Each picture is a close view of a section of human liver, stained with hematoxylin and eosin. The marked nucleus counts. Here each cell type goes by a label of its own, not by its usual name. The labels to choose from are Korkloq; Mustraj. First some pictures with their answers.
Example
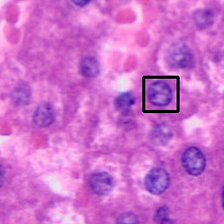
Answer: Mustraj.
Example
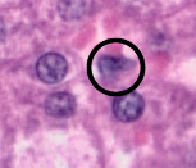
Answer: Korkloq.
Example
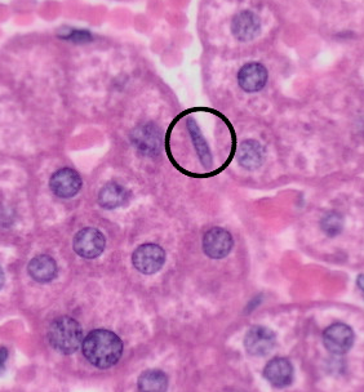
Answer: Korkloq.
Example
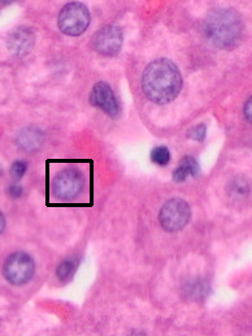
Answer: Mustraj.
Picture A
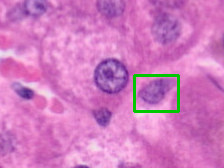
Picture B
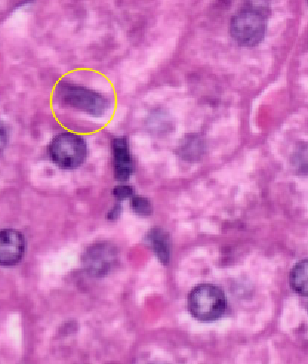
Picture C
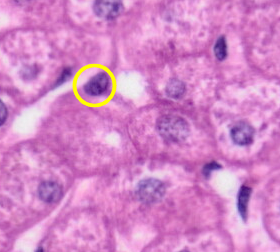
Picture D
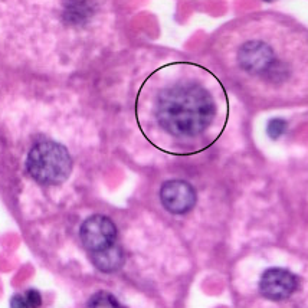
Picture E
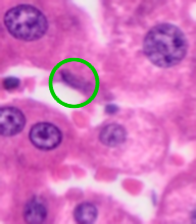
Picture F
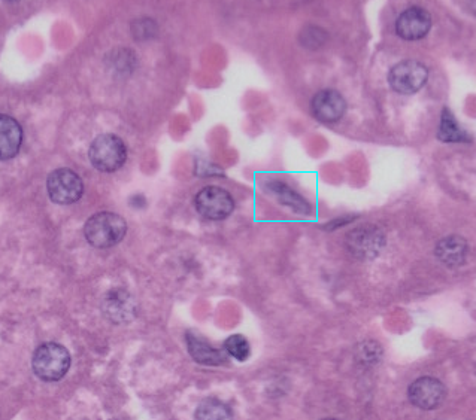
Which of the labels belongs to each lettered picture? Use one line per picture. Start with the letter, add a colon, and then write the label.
A: Korkloq.
B: Korkloq.
C: Korkloq.
D: Mustraj.
E: Korkloq.
F: Korkloq.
